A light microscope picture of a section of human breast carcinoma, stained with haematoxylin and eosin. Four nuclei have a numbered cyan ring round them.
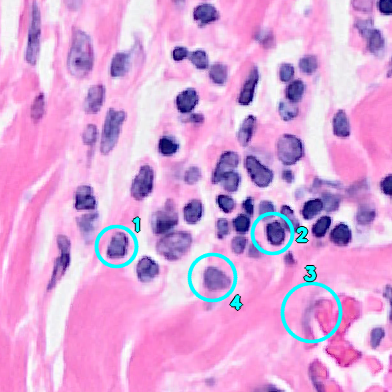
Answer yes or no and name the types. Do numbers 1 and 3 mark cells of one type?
No, cell 1 is a lymphocyte and cell 3 is an endothelial cell.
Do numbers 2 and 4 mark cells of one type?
Yes, both are lymphocytes.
